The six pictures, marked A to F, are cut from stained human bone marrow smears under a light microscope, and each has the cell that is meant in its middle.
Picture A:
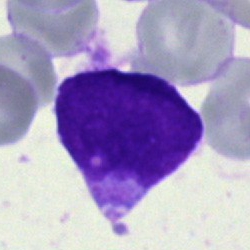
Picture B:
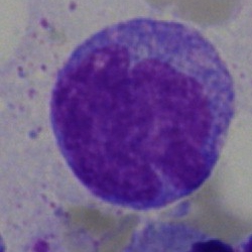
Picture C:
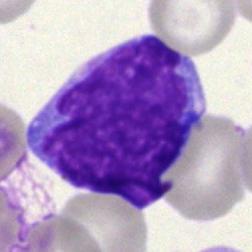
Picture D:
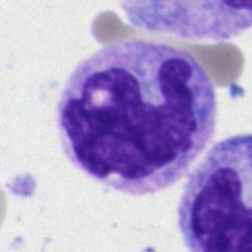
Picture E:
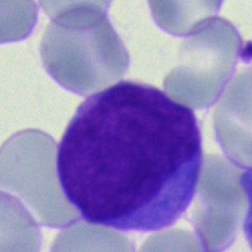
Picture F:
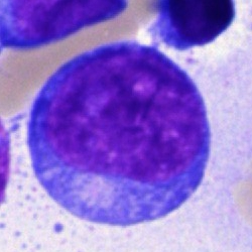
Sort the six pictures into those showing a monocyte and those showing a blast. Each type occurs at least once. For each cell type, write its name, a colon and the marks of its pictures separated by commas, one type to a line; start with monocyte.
monocyte: B, D
blast: A, C, E, F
